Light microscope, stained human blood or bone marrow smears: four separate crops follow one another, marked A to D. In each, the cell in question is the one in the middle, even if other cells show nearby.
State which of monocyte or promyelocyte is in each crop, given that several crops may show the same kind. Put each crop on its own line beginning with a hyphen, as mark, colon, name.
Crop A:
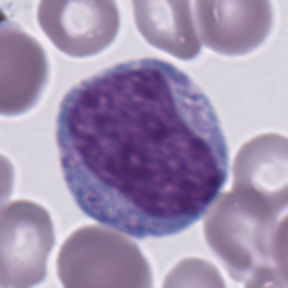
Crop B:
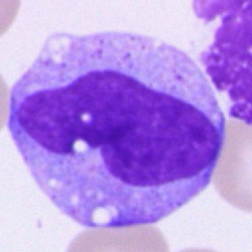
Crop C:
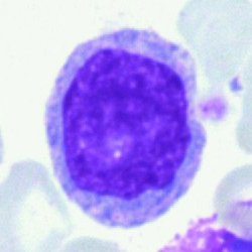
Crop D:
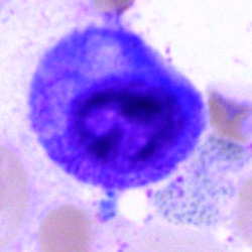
- A: promyelocyte
- B: monocyte
- C: monocyte
- D: promyelocyte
